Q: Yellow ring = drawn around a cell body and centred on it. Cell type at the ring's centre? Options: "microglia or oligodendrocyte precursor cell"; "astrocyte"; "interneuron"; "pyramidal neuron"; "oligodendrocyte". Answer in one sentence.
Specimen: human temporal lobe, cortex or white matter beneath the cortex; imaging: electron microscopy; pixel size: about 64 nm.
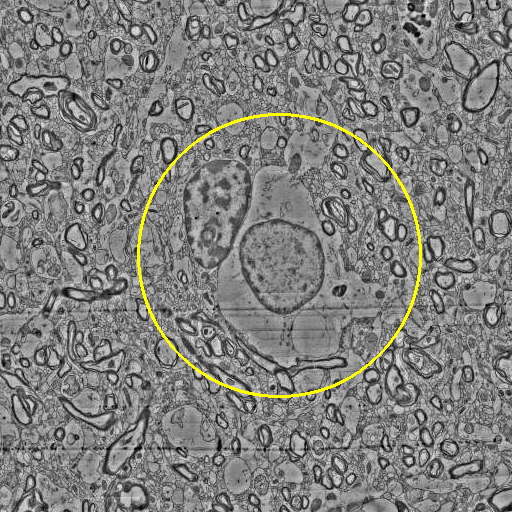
Centred in the ring is an astrocyte.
